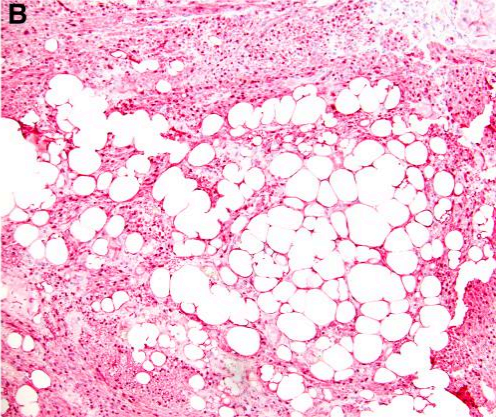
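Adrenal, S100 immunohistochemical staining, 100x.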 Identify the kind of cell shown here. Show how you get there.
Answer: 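Many round, empty-looking clear spaces of varying size. The spaces are separated by thin membranes and lie within cellular tissue.
Answer: adipocytes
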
